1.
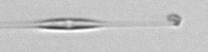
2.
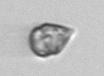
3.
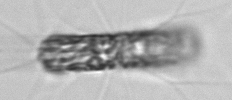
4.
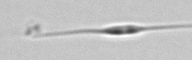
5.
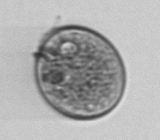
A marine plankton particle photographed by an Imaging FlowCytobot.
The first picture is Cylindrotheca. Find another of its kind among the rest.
Picture 4.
